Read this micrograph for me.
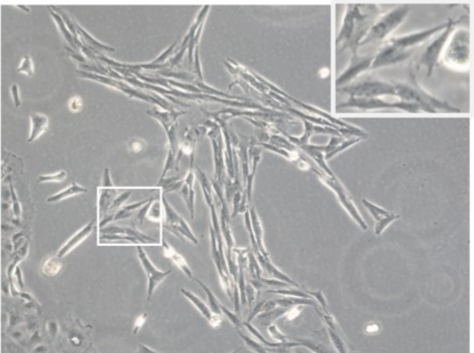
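These are fibroblast-like cells growing sparsely on a culture surface, seen in phase contrast. The cells are long and spindle-shaped, with tapering ends and sometimes two or three thin extensions. They lie side by side in loose, crossing bundles, forming streams and branching strands with much empty surface between them. Each cell body holds an oval nucleus near its middle, and the edges of the cells appear bright against the grey background. Scattered around them are small, round, bright cells that are not spread out, and a few short, isolated spindle cells lie apart from the main group.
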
